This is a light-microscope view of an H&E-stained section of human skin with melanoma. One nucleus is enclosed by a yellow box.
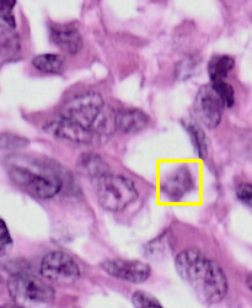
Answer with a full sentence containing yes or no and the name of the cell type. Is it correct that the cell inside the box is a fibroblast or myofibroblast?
No, the cell inside the box is a melanoma cell; calling it a fibroblast or myofibroblast would be wrong.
